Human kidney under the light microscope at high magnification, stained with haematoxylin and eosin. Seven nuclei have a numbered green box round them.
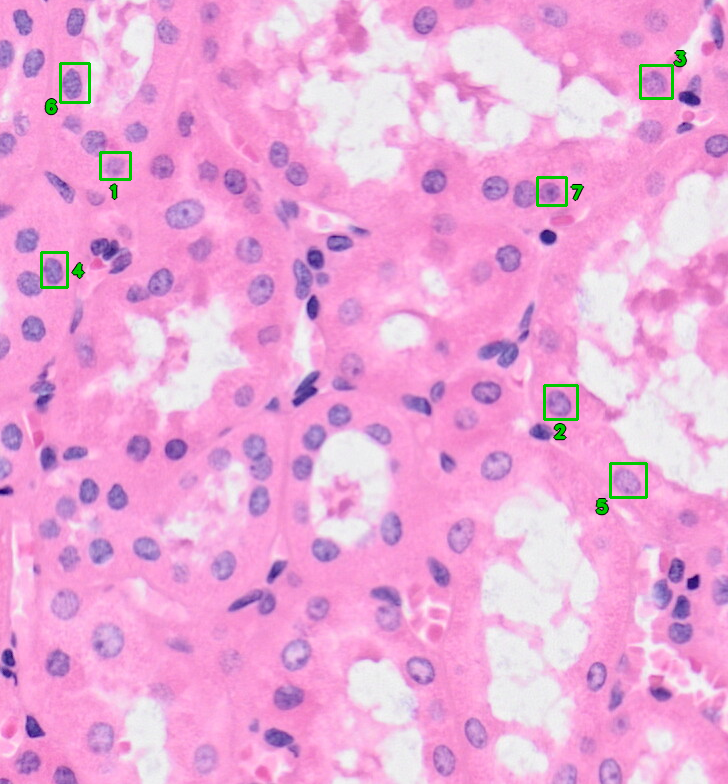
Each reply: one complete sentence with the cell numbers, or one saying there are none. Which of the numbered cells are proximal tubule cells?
The cells assigned the numbers 2, 3, 5 and 7 are proximal tubule cells.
